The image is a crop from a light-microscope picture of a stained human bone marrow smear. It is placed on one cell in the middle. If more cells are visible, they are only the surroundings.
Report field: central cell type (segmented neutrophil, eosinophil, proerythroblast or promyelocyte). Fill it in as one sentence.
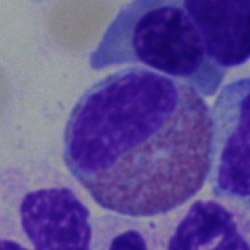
By classification, the middle cell of this crop is an eosinophil.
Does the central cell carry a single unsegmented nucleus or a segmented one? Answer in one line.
Have a look at the nucleus, which is one compact mass, round, oval or kidney-shaped.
